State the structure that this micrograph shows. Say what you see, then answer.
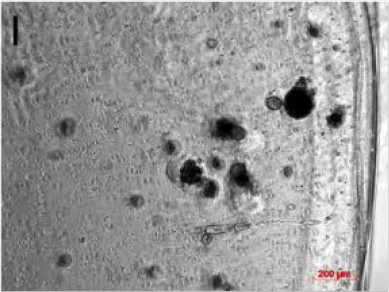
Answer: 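Dark, round, compact multicellular clusters lie scattered in the dish. Clusters vary in size.
Conclusion: spheroids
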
